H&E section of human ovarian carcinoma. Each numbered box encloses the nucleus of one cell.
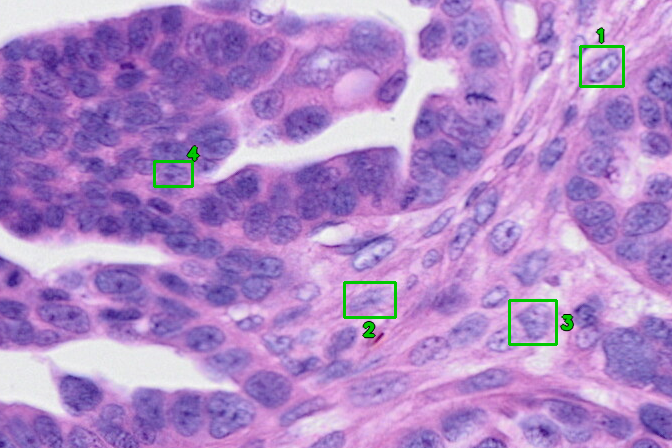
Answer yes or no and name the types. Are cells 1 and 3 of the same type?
Yes, the two cells marked 1 and 3 are both fibroblasts.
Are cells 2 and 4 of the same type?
No, cell 4 is a carcinoma cell, whereas cell 2 is a fibroblast.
